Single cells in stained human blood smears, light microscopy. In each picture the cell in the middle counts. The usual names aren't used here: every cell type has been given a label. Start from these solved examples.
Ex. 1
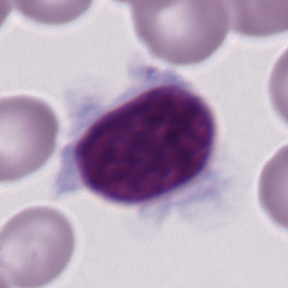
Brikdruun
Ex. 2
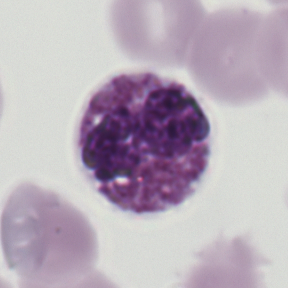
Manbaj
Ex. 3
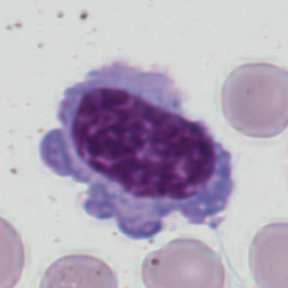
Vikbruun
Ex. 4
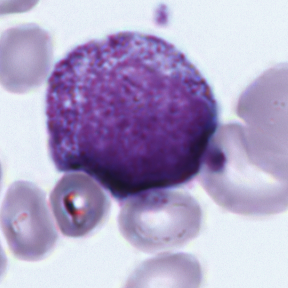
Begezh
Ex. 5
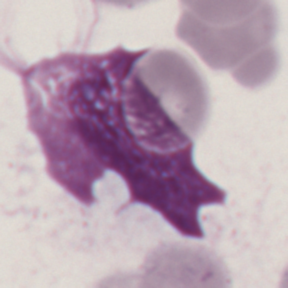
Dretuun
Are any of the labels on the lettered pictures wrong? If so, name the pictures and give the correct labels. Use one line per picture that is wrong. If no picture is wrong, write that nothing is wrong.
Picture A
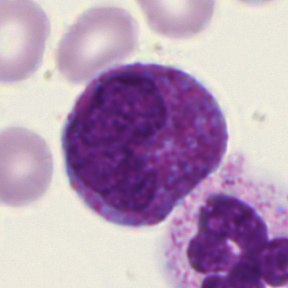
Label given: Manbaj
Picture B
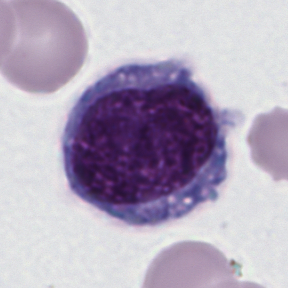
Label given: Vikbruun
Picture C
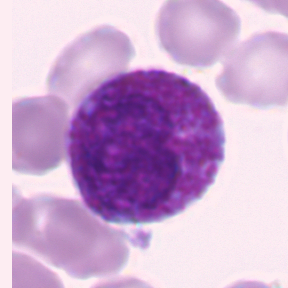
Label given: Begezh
C: Manbaj, not Begezh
